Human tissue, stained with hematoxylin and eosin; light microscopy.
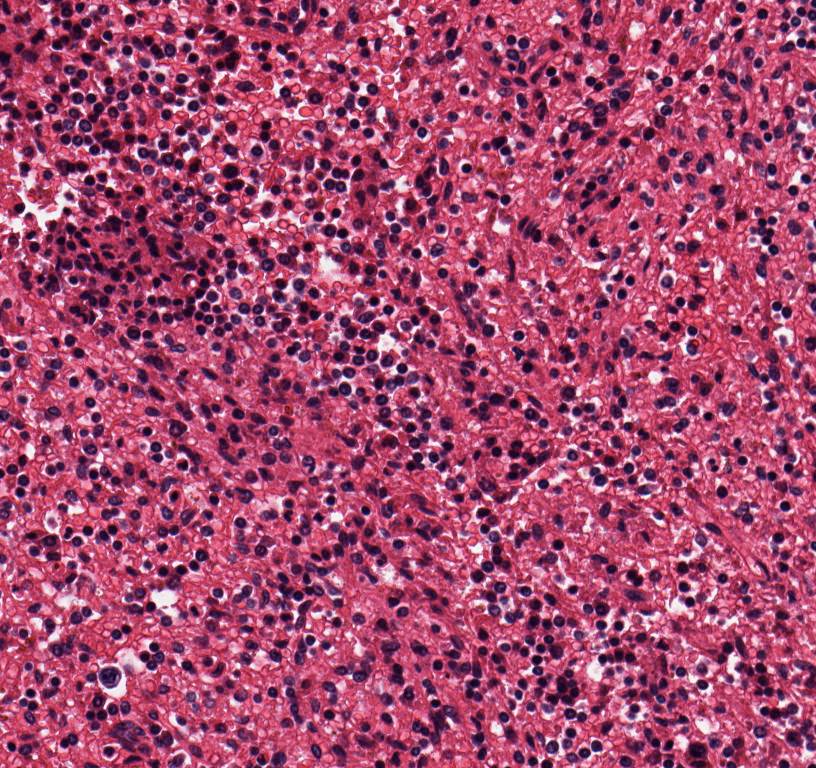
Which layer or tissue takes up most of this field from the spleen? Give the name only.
red pulp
